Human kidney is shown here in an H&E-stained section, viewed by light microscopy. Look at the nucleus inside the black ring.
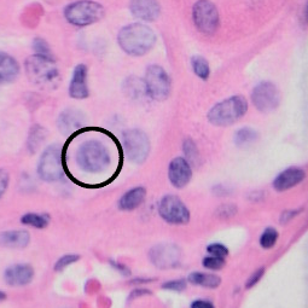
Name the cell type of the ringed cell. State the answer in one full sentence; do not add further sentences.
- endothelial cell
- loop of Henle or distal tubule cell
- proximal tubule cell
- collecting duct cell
It is as a collecting duct cell that the ringed cell is classified.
